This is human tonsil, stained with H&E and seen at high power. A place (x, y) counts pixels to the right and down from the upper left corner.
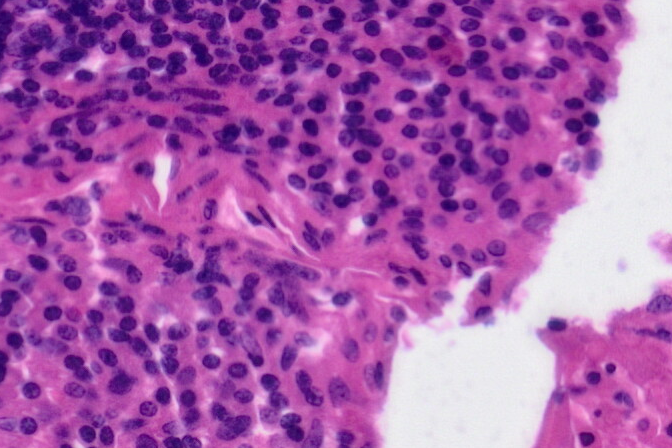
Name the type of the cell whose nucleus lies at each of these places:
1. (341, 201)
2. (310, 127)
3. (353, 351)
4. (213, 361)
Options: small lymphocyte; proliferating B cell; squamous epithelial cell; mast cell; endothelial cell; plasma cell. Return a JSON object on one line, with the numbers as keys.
{"1": "plasma cell", "2": "plasma cell", "3": "squamous epithelial cell", "4": "plasma cell"}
